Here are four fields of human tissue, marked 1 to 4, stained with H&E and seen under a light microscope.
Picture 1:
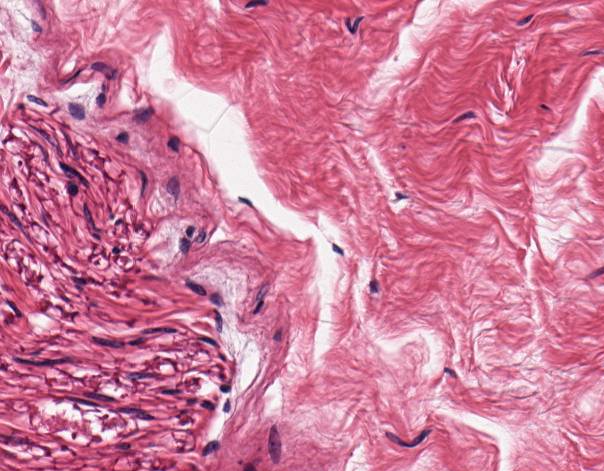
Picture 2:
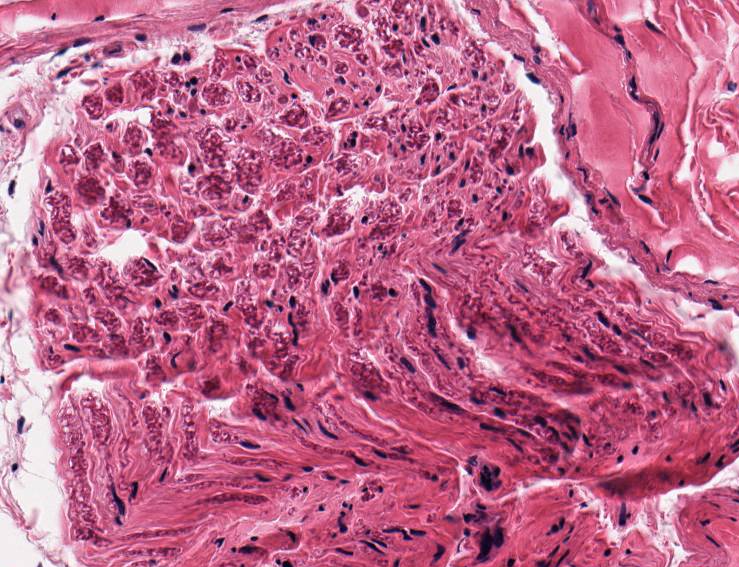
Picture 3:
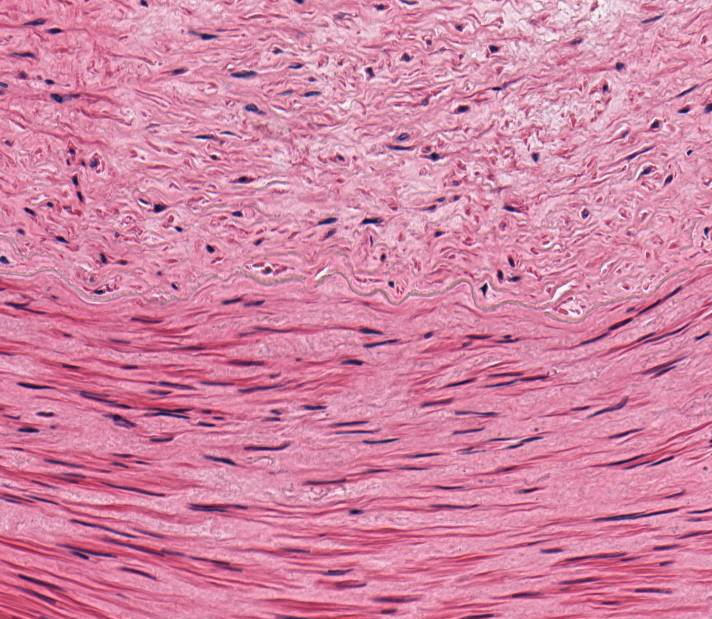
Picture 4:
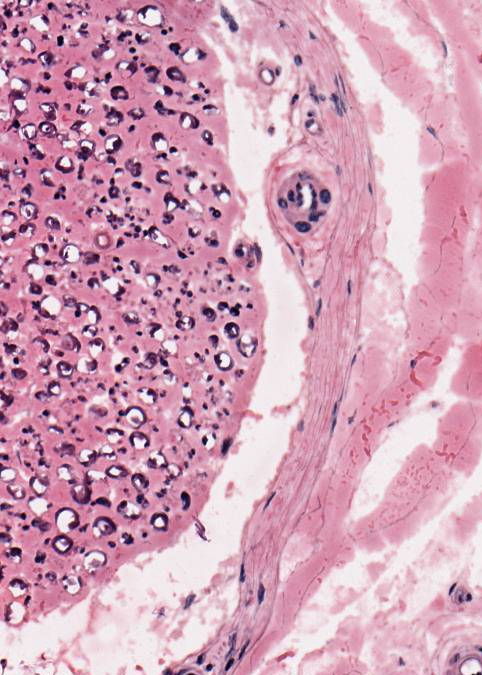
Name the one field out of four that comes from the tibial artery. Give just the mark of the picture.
3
